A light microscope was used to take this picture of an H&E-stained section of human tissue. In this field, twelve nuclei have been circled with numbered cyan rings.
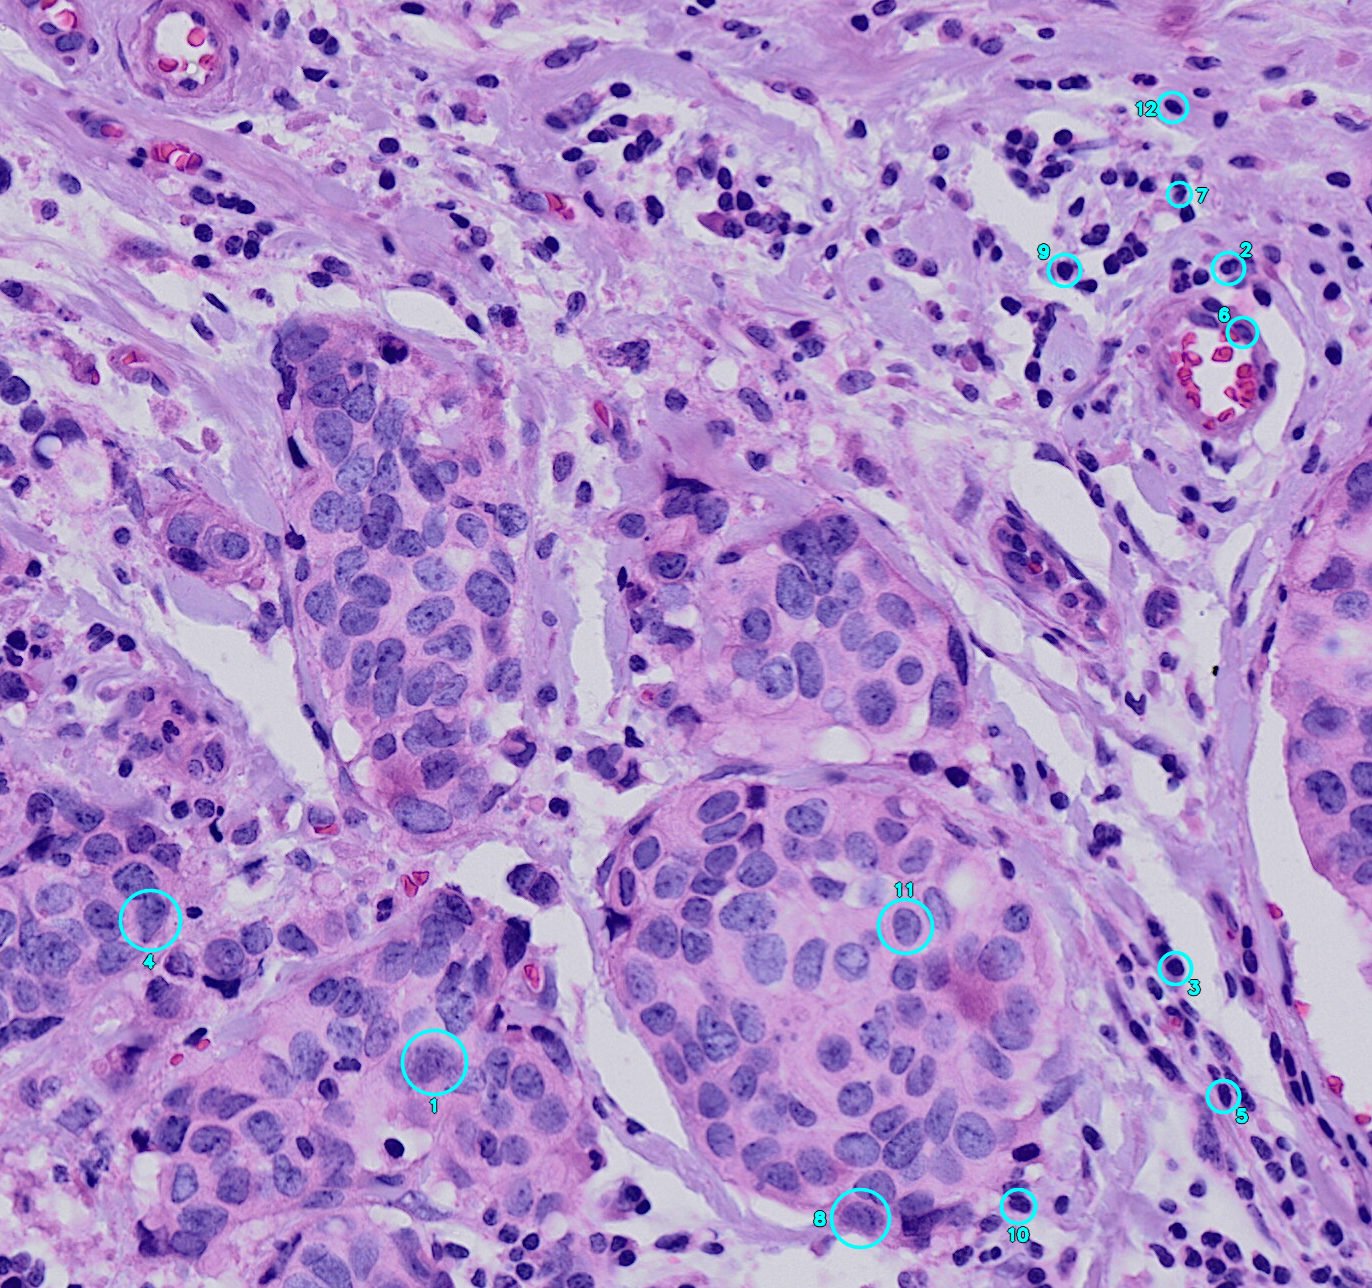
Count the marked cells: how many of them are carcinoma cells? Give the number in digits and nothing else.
4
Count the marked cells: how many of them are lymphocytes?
7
